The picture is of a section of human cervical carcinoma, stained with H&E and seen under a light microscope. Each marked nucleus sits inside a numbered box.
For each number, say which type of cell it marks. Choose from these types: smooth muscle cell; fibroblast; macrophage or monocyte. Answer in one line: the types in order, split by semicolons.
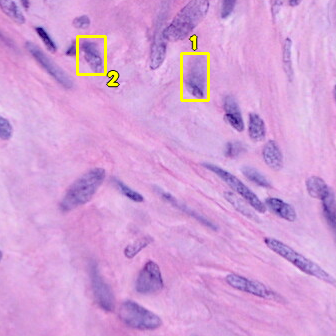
fibroblast; smooth muscle cell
